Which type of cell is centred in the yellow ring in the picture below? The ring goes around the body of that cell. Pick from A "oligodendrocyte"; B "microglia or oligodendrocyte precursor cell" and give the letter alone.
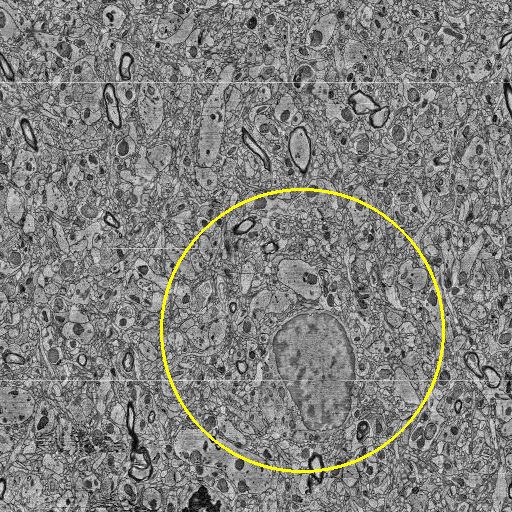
A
